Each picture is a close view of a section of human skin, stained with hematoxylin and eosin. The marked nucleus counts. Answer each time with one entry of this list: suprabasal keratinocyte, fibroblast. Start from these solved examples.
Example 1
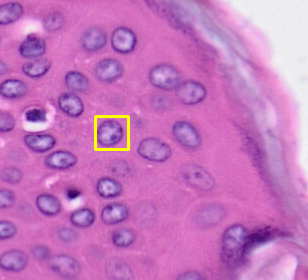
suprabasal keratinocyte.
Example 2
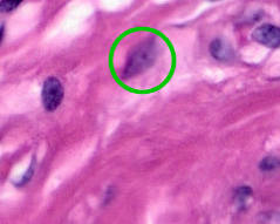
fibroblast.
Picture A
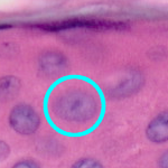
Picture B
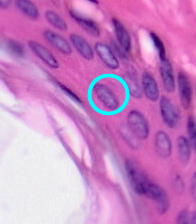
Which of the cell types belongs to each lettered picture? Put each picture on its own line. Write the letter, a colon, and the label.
A: suprabasal keratinocyte.
B: suprabasal keratinocyte.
